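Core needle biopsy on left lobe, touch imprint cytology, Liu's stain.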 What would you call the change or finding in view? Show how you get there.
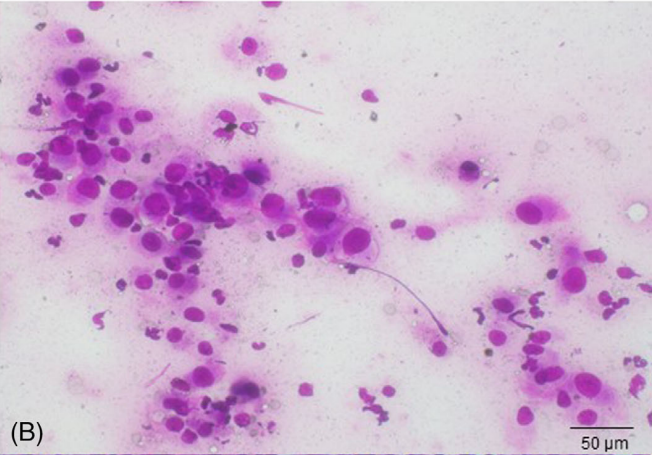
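Pleomorphism. Nuclei vary clearly in size from cell to cell. Some cells are much larger than their neighbours. Cells lie singly and in loose clusters.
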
